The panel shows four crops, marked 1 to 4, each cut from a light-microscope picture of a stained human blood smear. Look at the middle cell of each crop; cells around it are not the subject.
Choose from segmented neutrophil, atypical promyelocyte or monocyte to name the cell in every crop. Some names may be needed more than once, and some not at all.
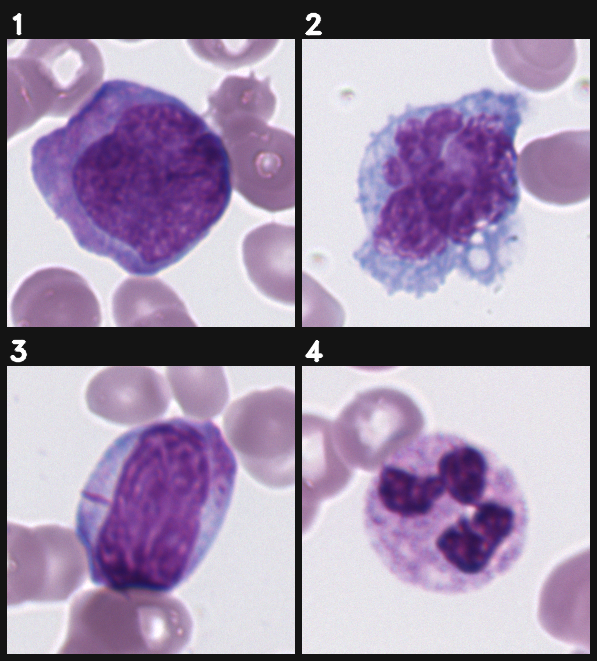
1: atypical promyelocyte
2: monocyte
3: atypical promyelocyte
4: segmented neutrophil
